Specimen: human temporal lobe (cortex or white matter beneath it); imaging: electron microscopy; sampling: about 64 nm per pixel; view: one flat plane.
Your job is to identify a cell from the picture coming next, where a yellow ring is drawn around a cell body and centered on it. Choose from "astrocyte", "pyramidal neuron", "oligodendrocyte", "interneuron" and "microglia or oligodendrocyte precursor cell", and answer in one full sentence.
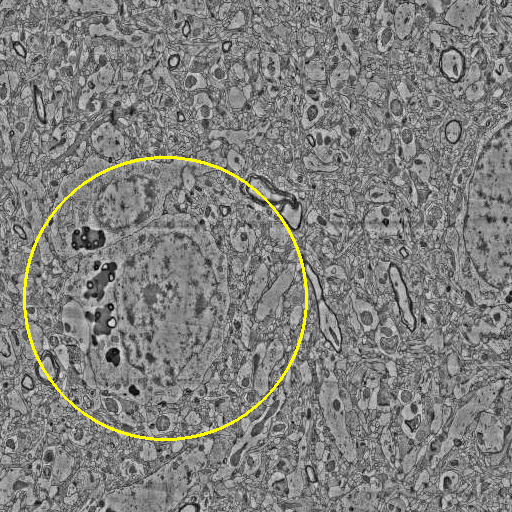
Centered in the yellow ring of the picture is the body of an interneuron.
